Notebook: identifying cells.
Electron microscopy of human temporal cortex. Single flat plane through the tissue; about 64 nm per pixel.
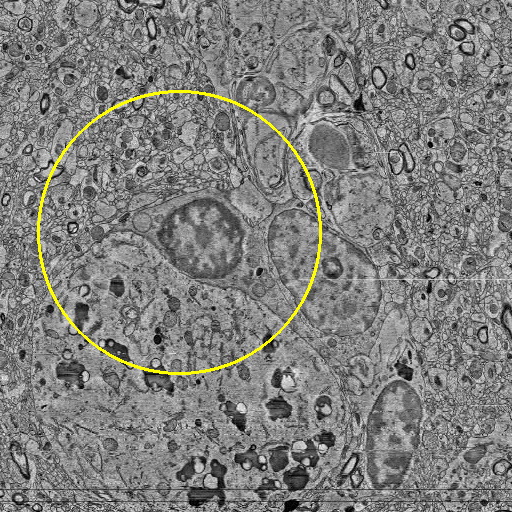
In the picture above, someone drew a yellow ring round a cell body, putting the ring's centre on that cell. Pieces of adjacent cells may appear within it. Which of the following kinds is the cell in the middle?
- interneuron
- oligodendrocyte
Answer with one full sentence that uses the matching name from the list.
In this picture, the yellow ring is centred on the body of an oligodendrocyte.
